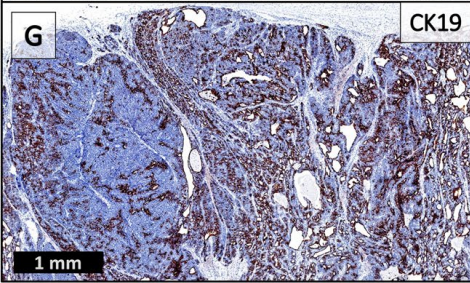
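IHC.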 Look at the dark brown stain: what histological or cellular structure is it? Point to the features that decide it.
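Ductular components. Dark brown stain is concentrated in small duct-like and gland-like structures. Larger blue-counterstained solid areas are much less stained.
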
